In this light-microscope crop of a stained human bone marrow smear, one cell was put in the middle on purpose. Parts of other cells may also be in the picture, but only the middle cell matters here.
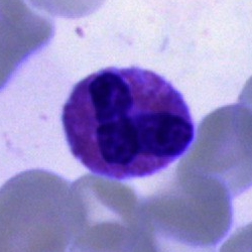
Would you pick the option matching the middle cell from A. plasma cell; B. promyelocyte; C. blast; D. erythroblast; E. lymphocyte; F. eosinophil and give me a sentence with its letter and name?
Identification: the cell in the middle is an eosinophil, matching option F.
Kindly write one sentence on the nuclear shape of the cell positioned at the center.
The key feature is a nucleus with multiple lobes.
